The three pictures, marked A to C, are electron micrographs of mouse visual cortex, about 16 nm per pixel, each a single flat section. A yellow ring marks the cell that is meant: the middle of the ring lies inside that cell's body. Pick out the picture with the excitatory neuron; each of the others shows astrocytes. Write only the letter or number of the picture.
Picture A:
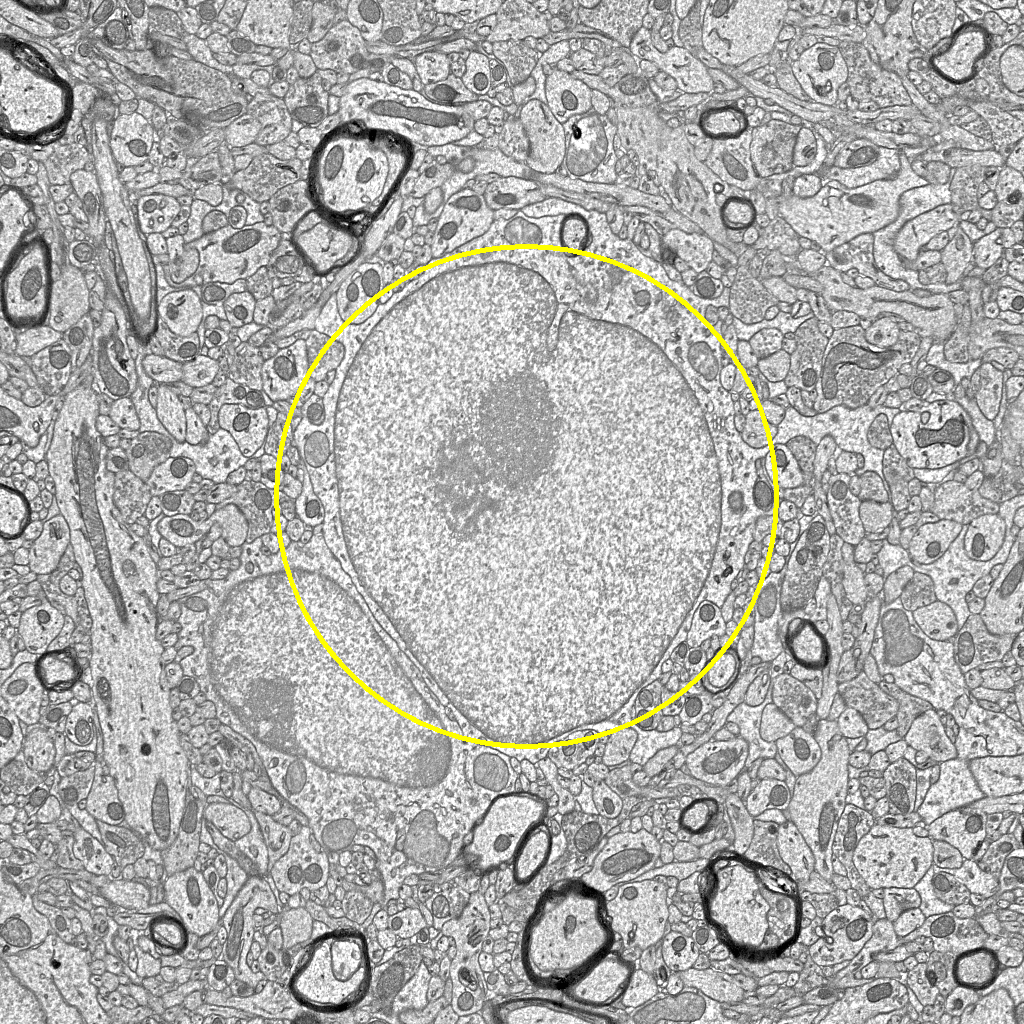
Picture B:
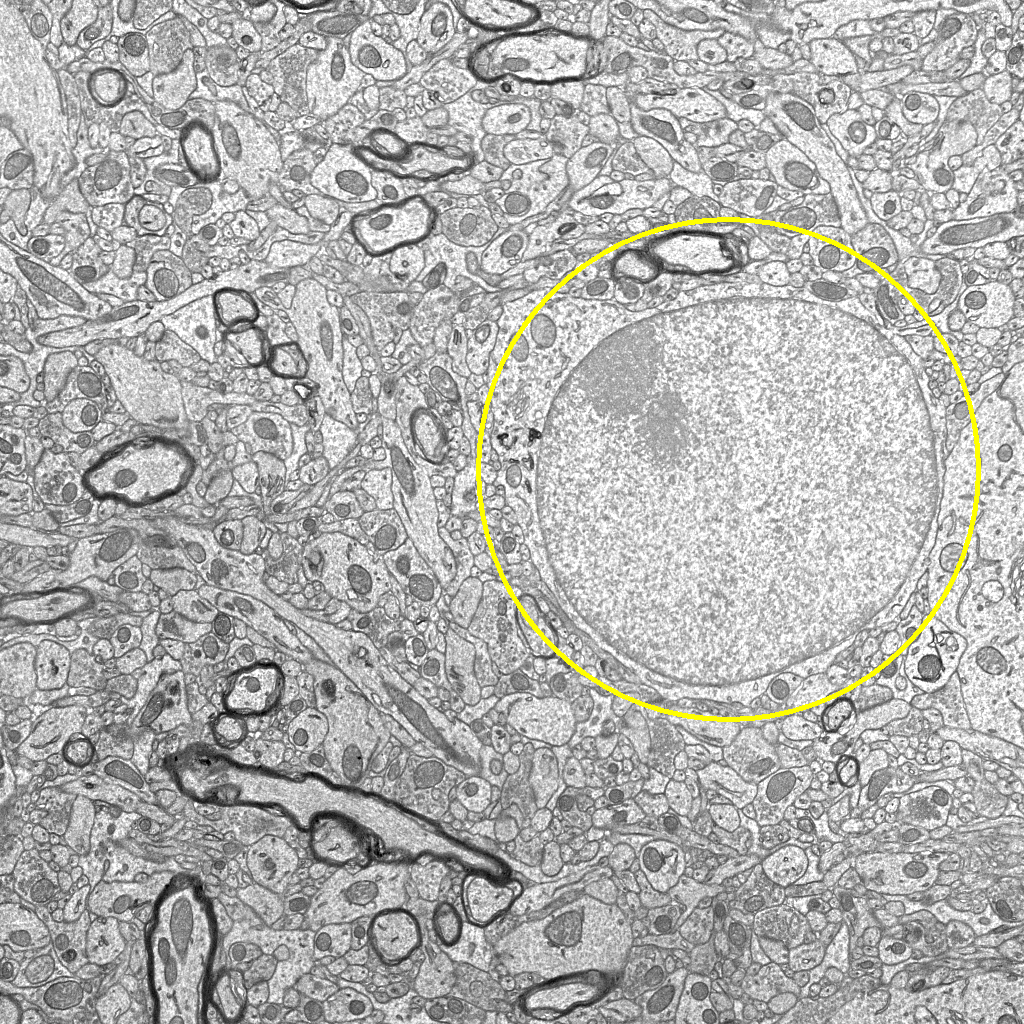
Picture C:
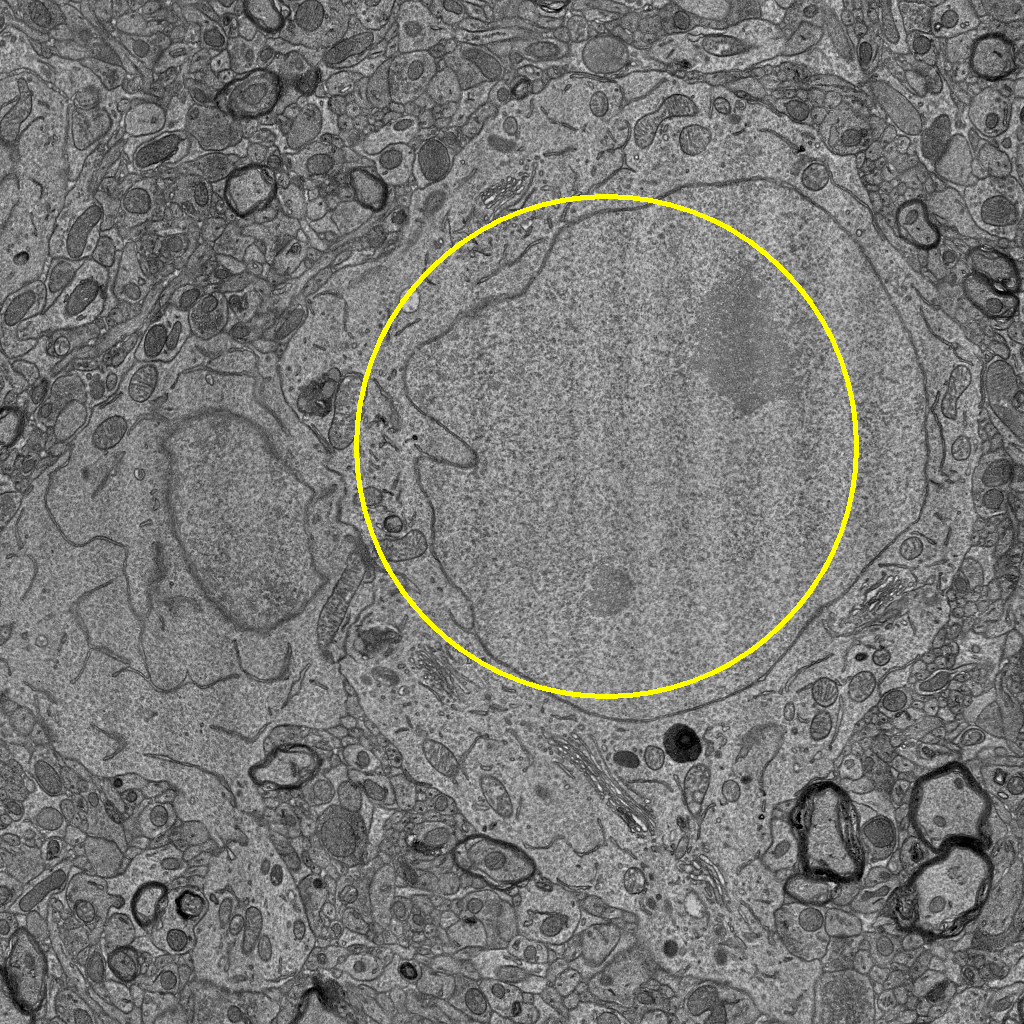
C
